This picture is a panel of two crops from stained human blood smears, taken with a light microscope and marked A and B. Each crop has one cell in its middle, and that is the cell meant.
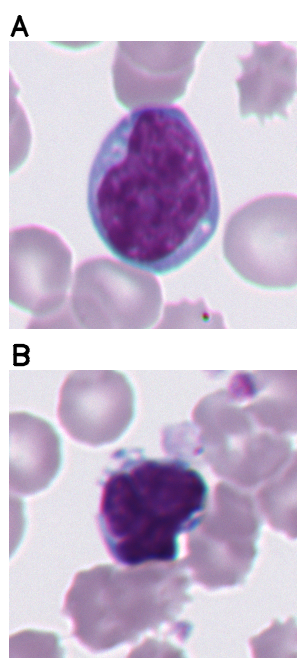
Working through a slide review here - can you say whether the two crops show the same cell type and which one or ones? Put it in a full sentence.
Yes, typical lymphocytes are the cells shown in both crops.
